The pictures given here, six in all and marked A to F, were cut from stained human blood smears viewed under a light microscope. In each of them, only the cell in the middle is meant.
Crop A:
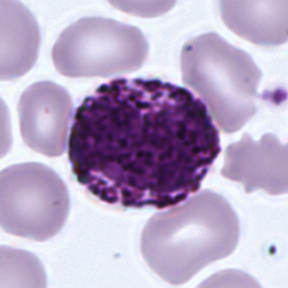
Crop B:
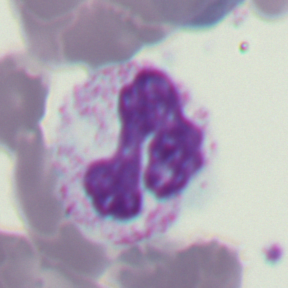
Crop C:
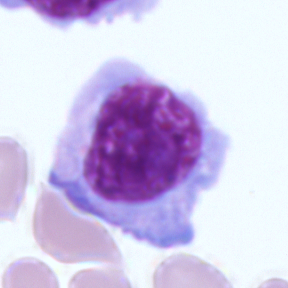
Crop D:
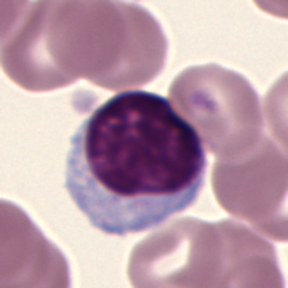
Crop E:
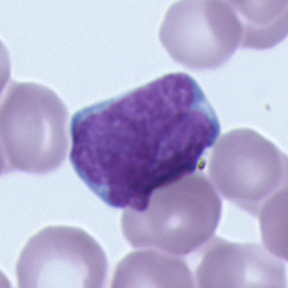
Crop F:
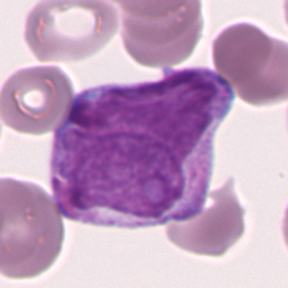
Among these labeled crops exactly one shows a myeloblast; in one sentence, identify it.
The crop that has a myeloblast in the middle is crop E.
